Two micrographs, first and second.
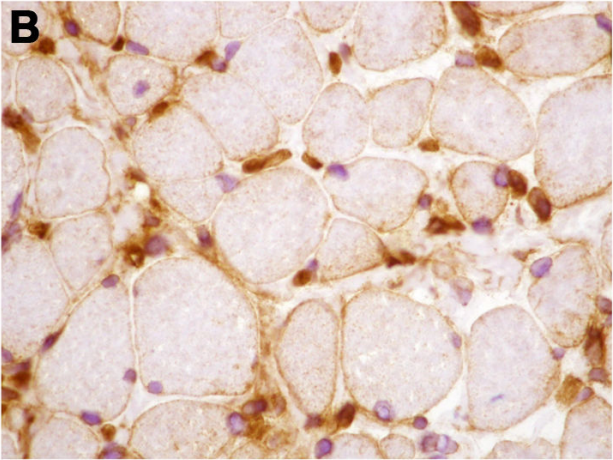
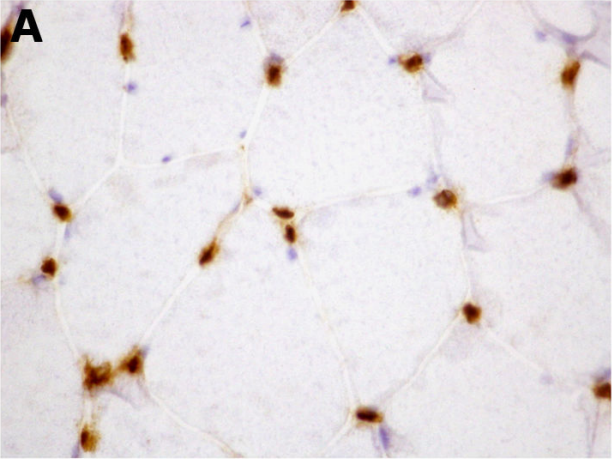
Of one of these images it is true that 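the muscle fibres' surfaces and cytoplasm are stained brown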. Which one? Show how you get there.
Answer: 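First image: the fibres have brown rims and a light brown tinge inside. Second image: the fibres are pale, with brown only in small spots at their corners.
Hence: the first image.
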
